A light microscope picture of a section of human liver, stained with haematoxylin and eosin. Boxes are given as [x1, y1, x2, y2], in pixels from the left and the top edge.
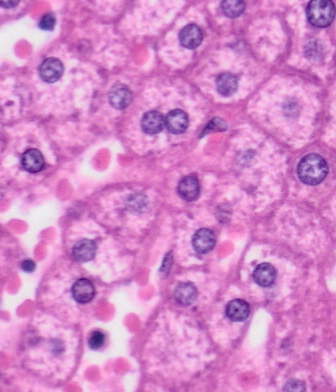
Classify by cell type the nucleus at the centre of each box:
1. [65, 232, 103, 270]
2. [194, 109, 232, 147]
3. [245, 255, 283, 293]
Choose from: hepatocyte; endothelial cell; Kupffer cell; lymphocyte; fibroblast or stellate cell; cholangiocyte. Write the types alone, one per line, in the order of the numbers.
hepatocyte
endothelial cell
hepatocyte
